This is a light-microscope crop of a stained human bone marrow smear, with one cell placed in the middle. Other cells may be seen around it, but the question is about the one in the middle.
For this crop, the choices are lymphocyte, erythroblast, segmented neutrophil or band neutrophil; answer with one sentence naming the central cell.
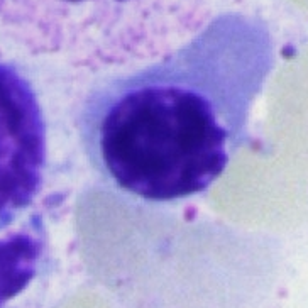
The cell in the middle of the field of view is an erythroblast.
